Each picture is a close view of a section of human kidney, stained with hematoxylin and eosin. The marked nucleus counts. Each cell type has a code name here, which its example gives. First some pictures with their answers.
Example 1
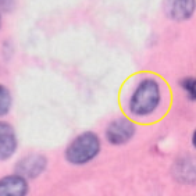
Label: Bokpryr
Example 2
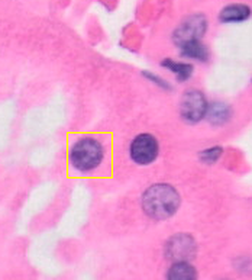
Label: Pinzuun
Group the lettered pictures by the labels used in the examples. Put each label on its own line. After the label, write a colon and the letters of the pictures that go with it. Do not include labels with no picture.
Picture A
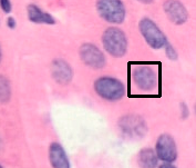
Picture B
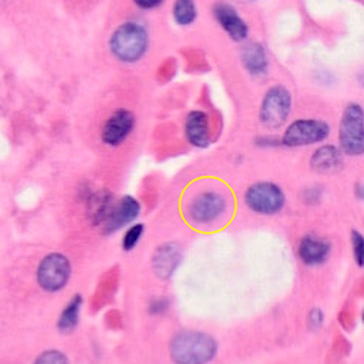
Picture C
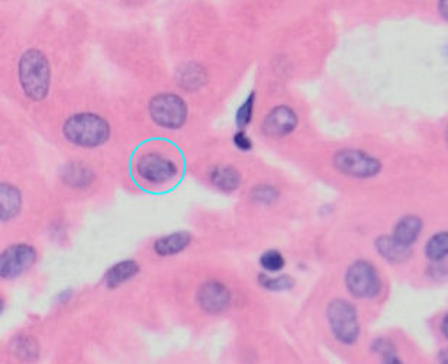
Bokpryr: A, B, C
